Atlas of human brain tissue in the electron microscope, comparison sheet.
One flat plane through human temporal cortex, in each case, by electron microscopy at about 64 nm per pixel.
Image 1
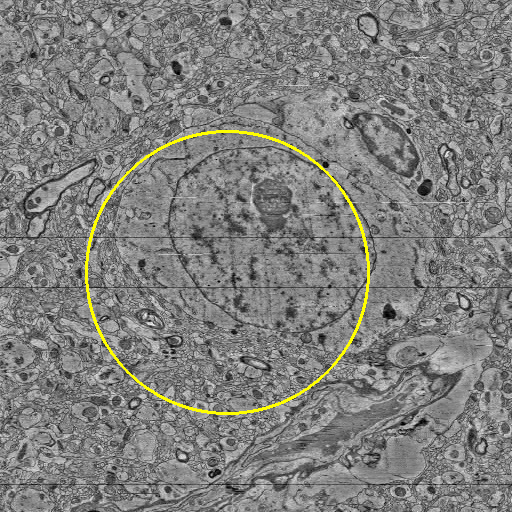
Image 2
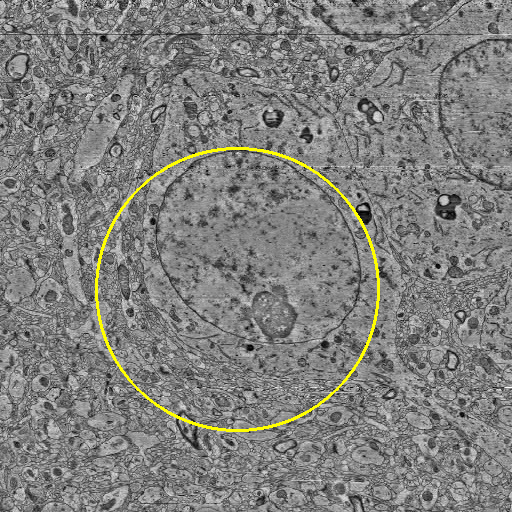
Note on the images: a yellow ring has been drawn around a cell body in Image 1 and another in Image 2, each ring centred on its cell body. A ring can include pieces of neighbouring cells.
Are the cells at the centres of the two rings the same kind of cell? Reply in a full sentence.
Yes, both cells are of the same kind.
